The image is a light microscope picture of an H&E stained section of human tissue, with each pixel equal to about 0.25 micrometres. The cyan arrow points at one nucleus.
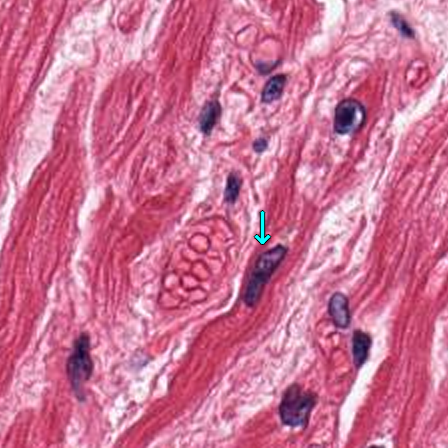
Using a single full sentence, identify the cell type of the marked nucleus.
The nucleus bearing the mark belongs to a cardiomyocyte.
